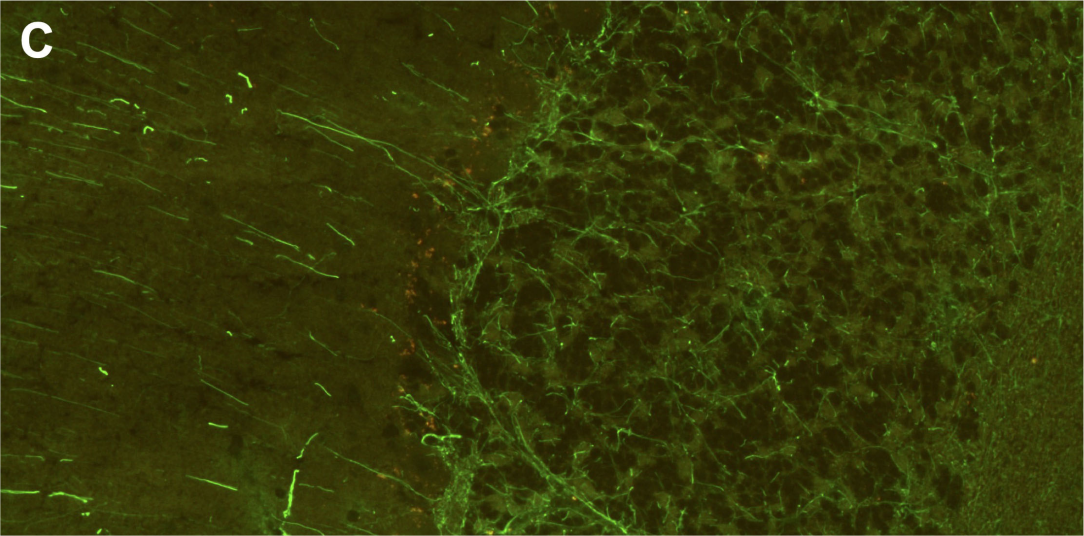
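This section of cerebellar cortex shows bright green, thin glial processes against a dim greenish background. On the left, long slender fibres run roughly parallel to one another across a weakly stained zone. Toward the middle these fibres converge into a dense, tangled meshwork of fine branching processes. Within and to the right of this meshwork, many dark, rounded gaps are left unstained between the processes. At the far right the tissue takes on a finer, more uniform texture, and a few small orange dots are scattered along the band where the fibres begin.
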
